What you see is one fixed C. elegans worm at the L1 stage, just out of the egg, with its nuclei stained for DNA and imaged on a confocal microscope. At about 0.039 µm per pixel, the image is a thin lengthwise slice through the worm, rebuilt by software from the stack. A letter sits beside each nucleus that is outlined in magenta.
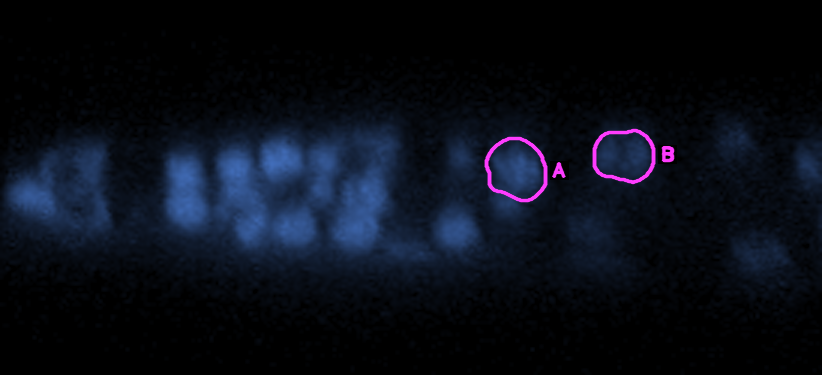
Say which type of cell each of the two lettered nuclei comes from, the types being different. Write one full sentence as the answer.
One is from a valve cell of the gut, namely A, and the other, B, is from an intestinal cell.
